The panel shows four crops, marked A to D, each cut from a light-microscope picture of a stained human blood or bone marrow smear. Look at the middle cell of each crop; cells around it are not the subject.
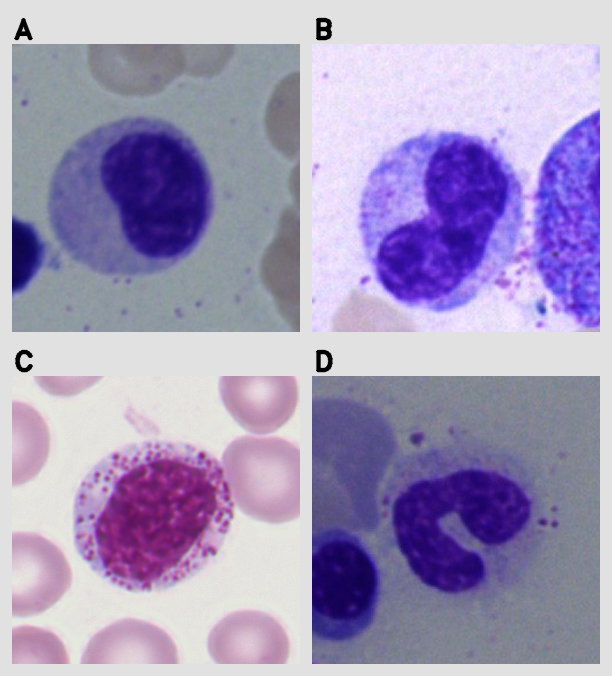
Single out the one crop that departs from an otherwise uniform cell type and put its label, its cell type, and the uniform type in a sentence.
Identified in crop D is a band neutrophil, whereas the other crops all show metamyelocytes.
